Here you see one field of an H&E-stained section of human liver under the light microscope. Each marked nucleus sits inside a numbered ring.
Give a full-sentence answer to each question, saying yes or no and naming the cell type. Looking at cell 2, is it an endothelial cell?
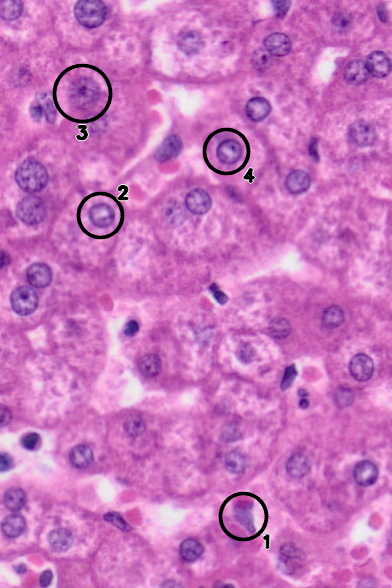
No, the cell at marker 2 is not an endothelial cell; it is a hepatocyte.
